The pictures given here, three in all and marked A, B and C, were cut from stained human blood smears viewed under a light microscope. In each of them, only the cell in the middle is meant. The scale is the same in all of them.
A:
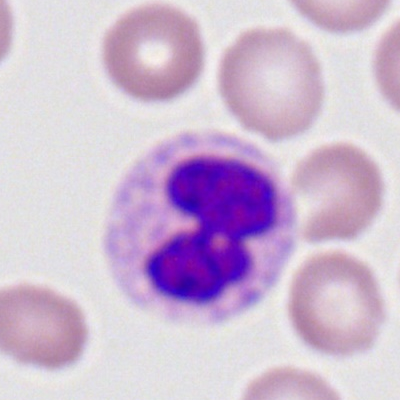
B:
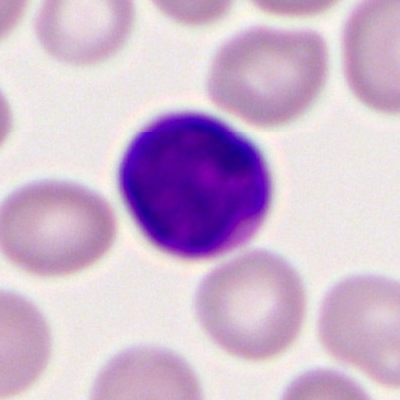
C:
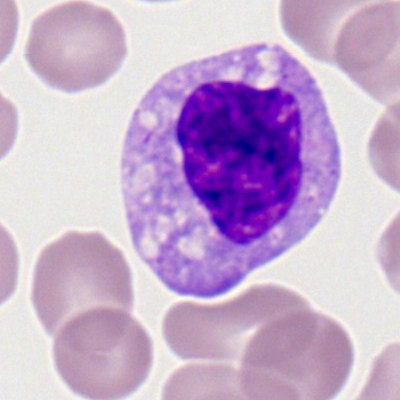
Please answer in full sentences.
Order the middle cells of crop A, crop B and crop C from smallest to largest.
Going up, they run B, A, C.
